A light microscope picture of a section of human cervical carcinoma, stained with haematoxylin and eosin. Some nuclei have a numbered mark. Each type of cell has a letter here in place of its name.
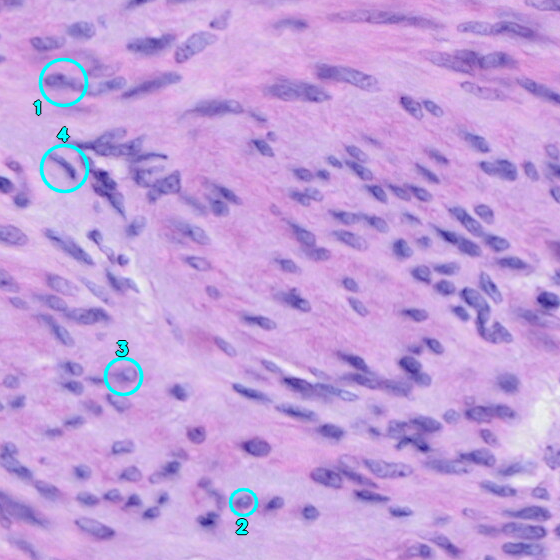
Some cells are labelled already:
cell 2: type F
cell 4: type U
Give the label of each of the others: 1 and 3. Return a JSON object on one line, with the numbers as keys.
{"1": "type F", "3": "type F"}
